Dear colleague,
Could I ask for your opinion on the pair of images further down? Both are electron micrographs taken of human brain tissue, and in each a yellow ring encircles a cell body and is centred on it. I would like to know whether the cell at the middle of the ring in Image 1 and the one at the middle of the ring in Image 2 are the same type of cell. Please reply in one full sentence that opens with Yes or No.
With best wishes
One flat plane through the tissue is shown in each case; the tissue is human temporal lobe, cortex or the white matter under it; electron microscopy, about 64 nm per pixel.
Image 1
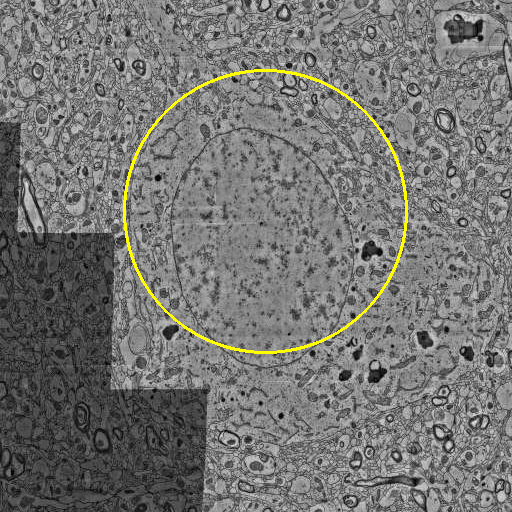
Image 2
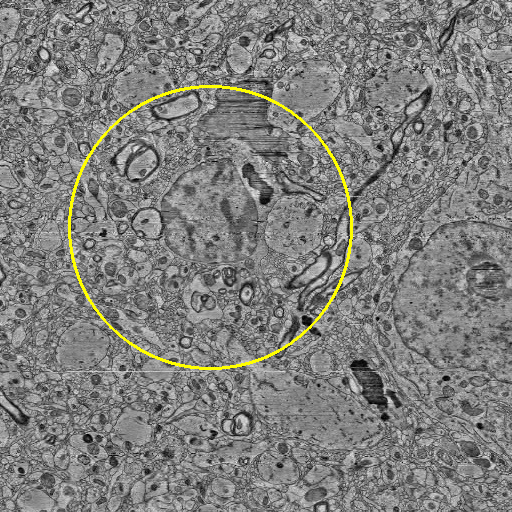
No, the cells at the ring centres in Image 1 and Image 2 are of two types.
